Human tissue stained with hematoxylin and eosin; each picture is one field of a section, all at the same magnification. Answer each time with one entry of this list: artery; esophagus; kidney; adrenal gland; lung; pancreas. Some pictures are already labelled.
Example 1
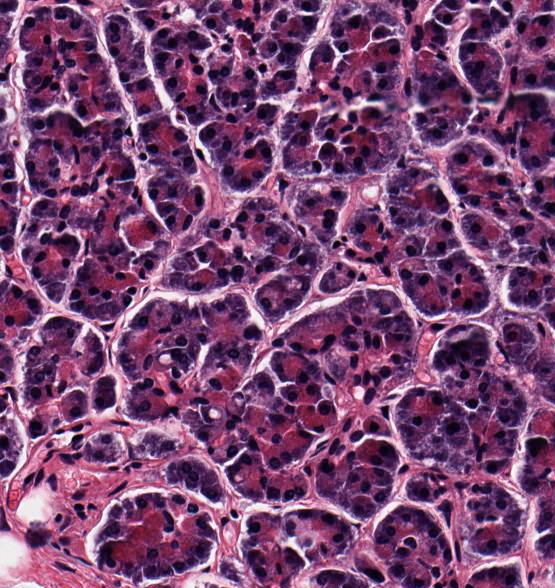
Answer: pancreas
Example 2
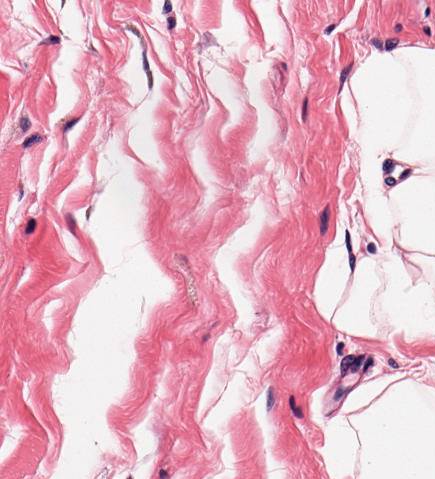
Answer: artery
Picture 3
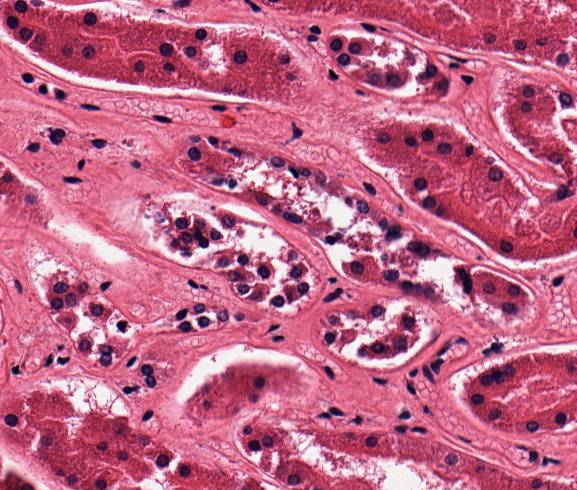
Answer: kidney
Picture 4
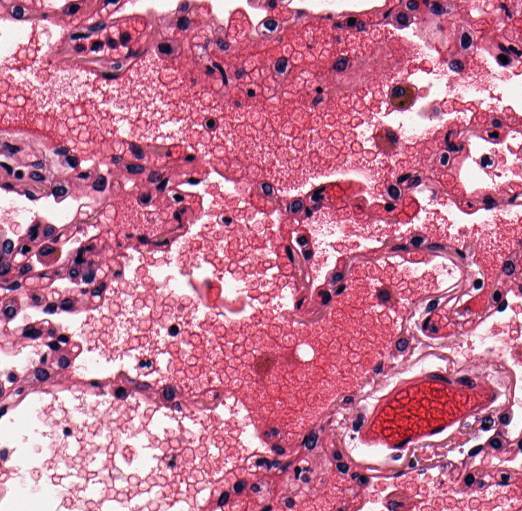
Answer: lung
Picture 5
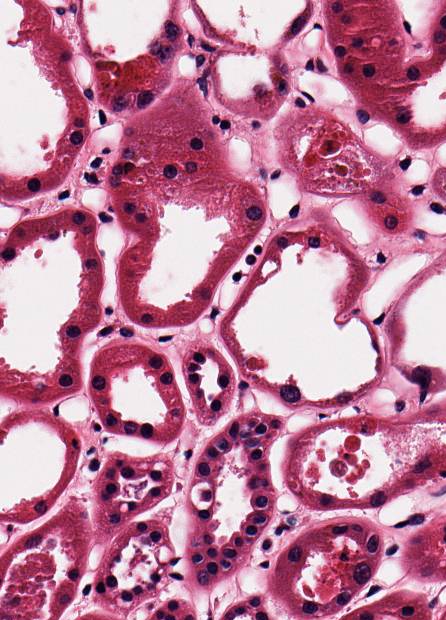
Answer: kidney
